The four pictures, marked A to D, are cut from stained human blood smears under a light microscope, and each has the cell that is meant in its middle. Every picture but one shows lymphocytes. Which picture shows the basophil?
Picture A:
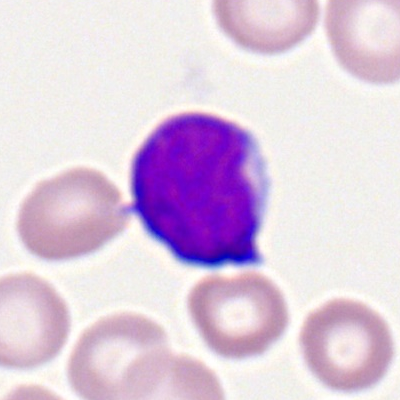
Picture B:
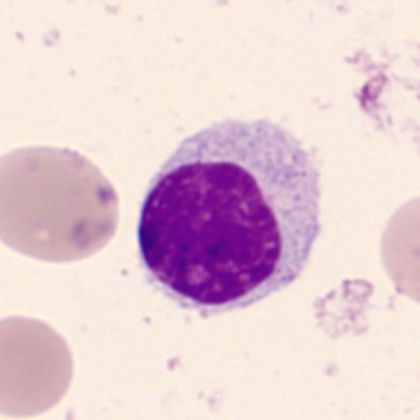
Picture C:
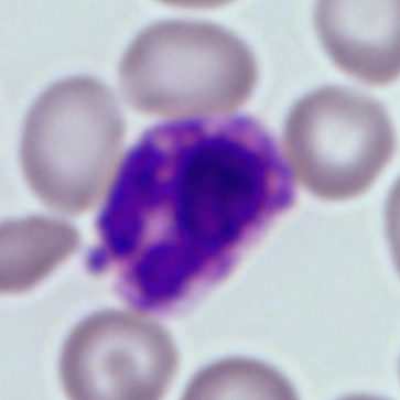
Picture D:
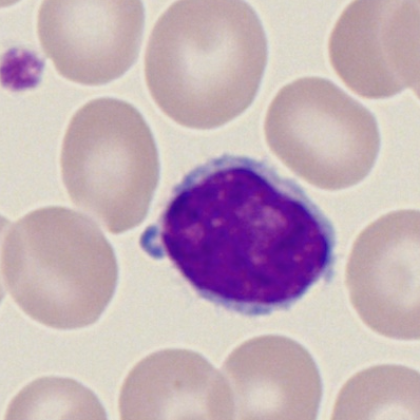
C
